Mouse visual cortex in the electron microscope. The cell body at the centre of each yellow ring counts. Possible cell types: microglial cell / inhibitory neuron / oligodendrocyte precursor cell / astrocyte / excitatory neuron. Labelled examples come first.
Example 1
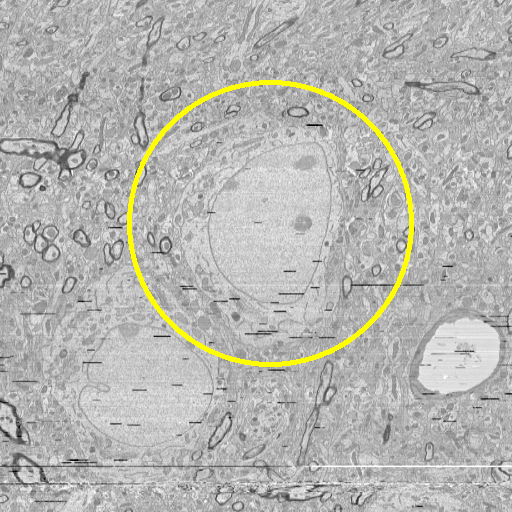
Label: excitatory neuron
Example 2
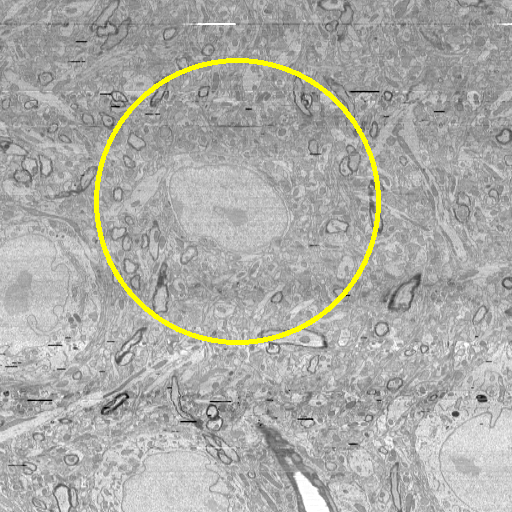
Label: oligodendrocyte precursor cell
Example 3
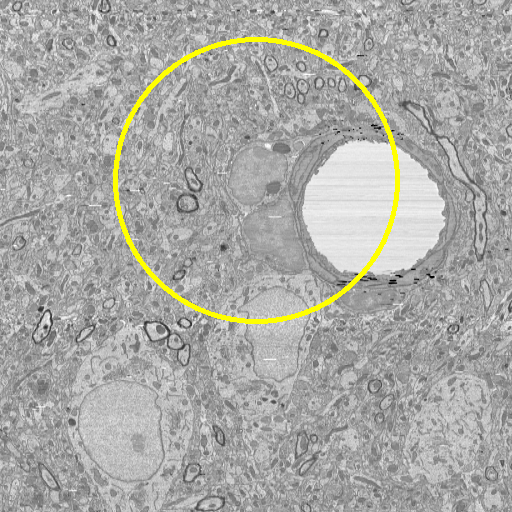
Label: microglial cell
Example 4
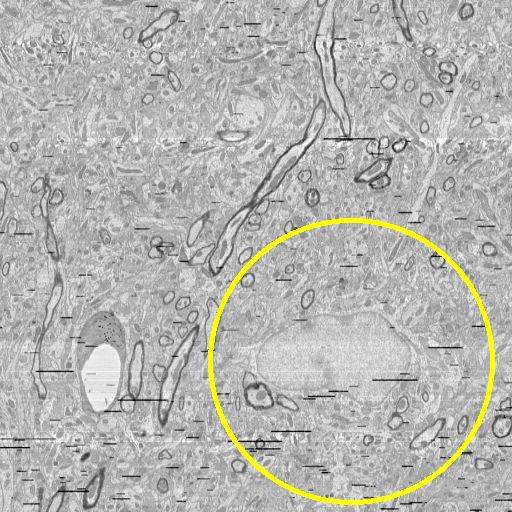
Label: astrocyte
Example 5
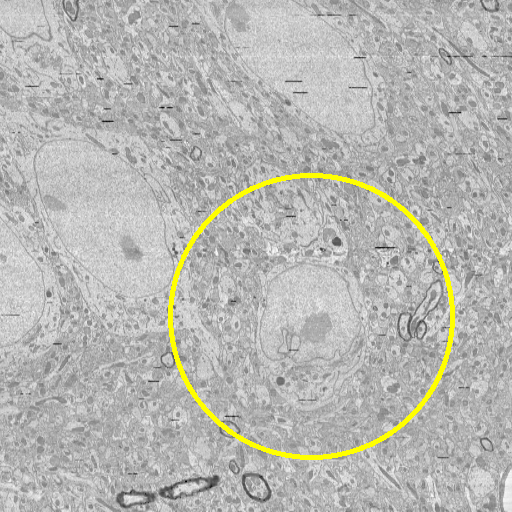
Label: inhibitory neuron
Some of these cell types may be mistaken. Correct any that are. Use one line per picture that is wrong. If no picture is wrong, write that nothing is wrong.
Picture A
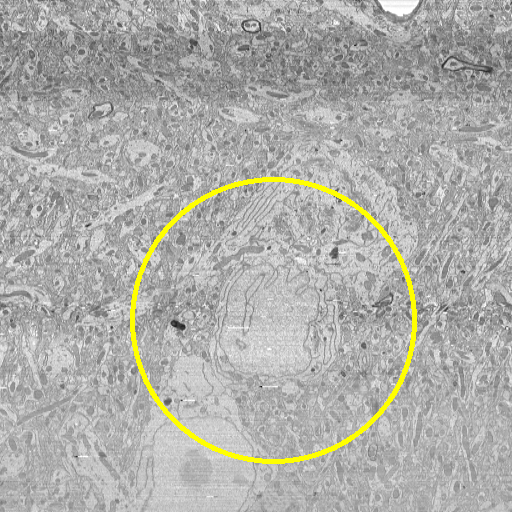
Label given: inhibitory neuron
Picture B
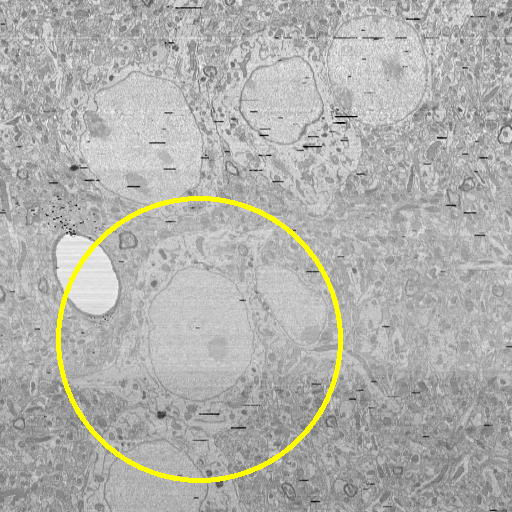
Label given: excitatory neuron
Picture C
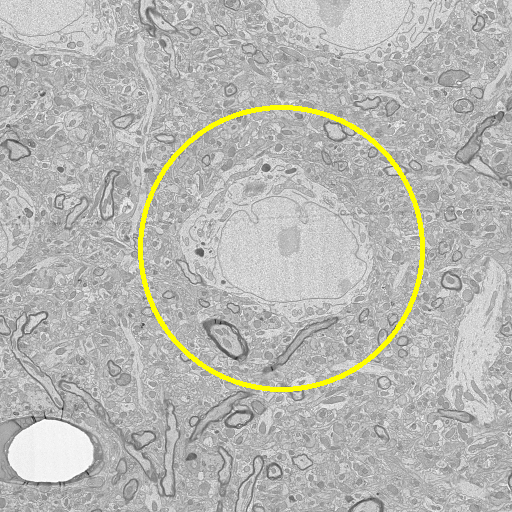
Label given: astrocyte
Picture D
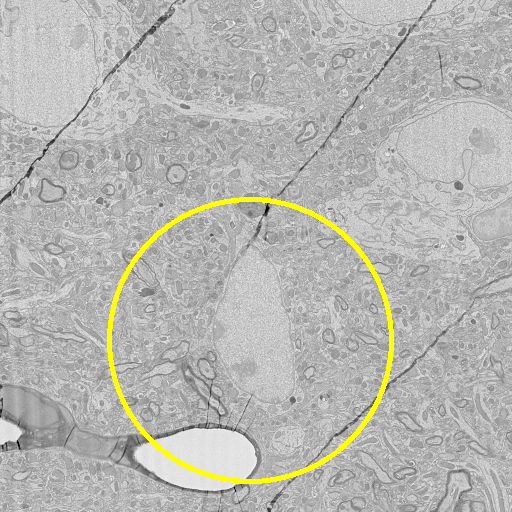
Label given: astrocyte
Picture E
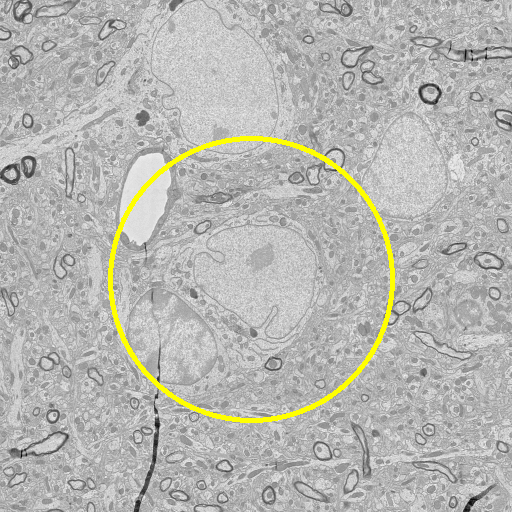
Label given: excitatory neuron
C: excitatory neuron, not astrocyte
E: inhibitory neuron, not excitatory neuron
